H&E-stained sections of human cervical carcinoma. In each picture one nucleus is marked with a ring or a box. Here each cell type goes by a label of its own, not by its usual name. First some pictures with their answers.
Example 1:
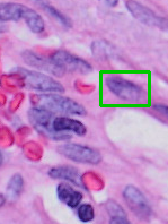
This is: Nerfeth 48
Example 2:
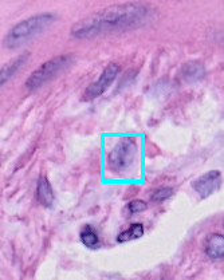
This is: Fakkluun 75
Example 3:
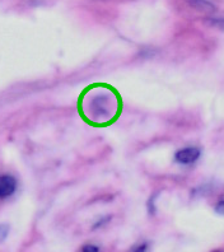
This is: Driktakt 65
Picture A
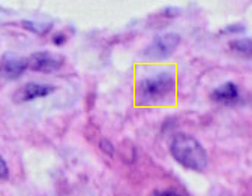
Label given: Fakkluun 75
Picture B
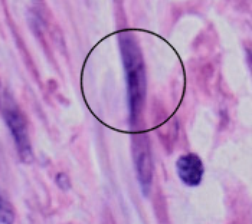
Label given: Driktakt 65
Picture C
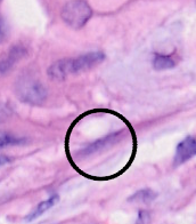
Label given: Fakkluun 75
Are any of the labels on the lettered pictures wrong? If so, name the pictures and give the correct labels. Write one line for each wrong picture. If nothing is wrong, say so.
B is labelled Driktakt 65; correct label: Fakkluun 75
